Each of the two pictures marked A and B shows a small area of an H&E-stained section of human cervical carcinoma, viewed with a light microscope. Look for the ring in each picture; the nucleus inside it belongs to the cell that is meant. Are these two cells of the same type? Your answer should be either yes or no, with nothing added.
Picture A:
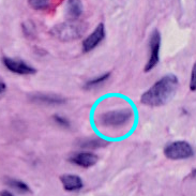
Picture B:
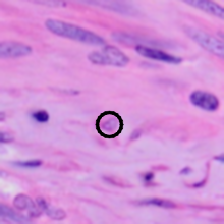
no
